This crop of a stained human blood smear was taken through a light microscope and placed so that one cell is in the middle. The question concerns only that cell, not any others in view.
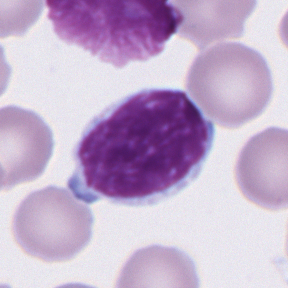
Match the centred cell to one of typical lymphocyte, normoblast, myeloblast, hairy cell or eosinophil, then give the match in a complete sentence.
The center cell of this crop is a typical lymphocyte.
